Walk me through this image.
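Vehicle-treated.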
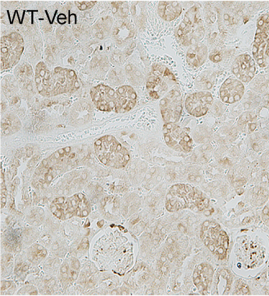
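This section of kidney tissue shows closely packed tubules and no cystic areas. The tubules appear as rounded or elongated profiles of cuboidal cells with round nuclei and pale brown, finely granular cytoplasm. A rounded, lobulated tuft of cells lies toward the lower right. The interstitial tissue between the tubules is scant and almost unstained.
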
